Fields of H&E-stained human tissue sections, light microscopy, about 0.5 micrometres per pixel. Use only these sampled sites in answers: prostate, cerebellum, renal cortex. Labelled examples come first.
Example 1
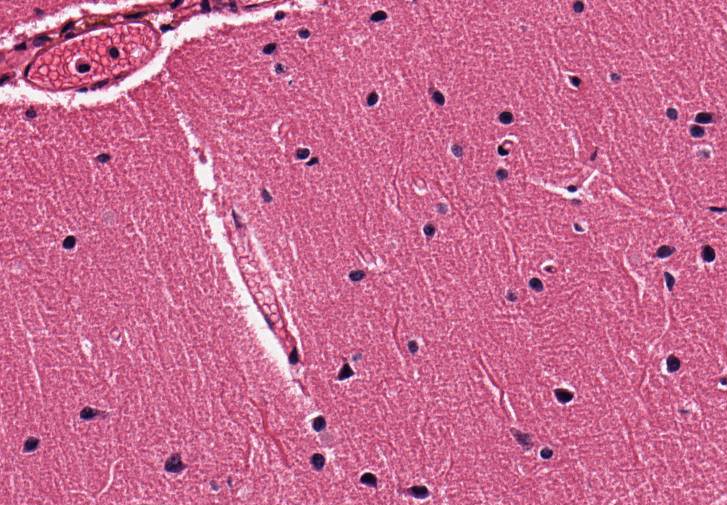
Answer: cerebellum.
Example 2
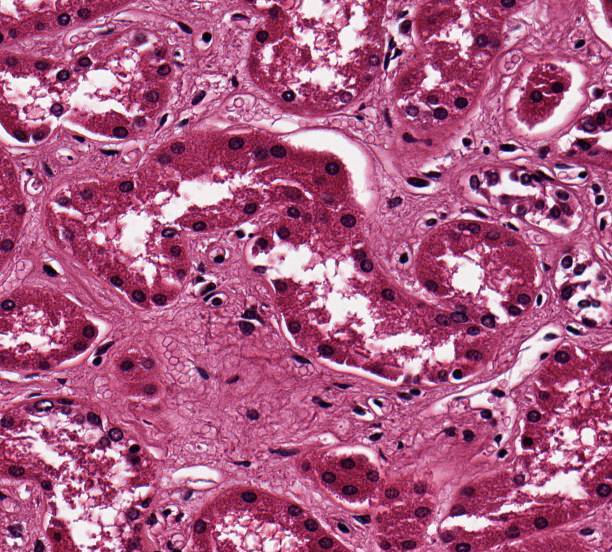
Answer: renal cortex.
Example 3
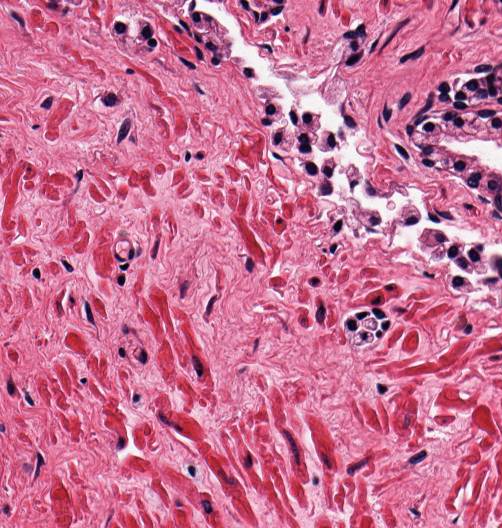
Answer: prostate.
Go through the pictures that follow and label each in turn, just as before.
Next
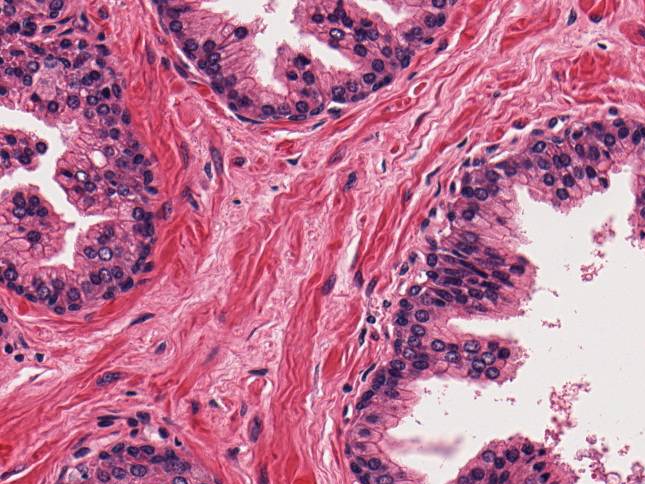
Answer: prostate.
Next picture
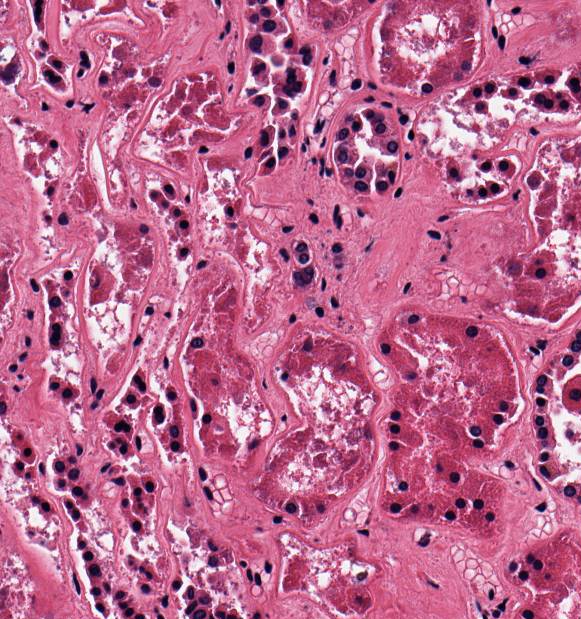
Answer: renal cortex.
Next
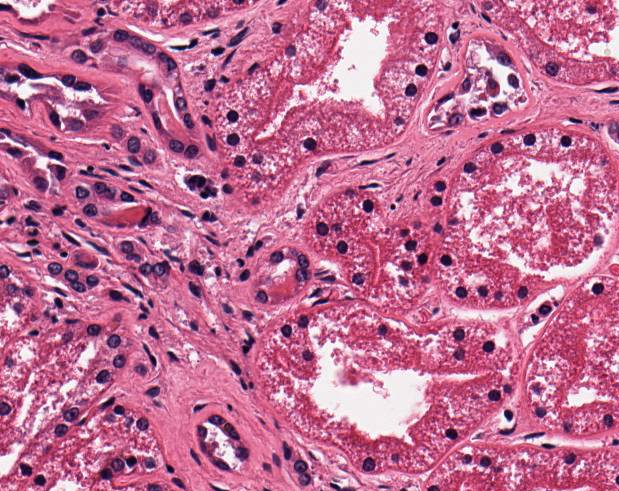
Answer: renal cortex.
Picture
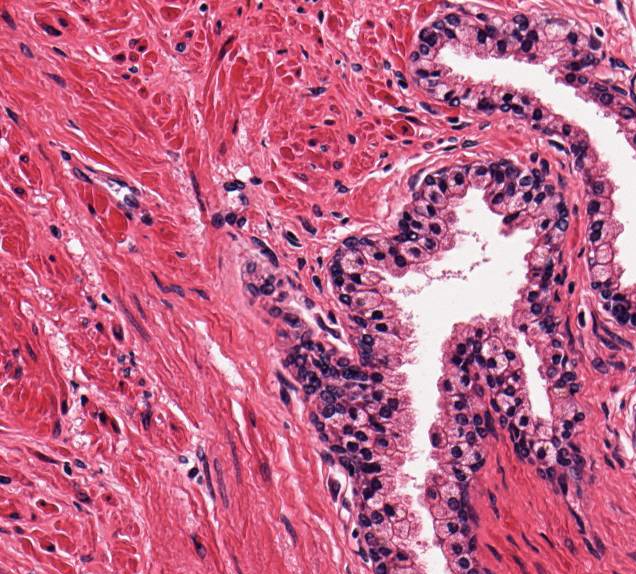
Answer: prostate.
